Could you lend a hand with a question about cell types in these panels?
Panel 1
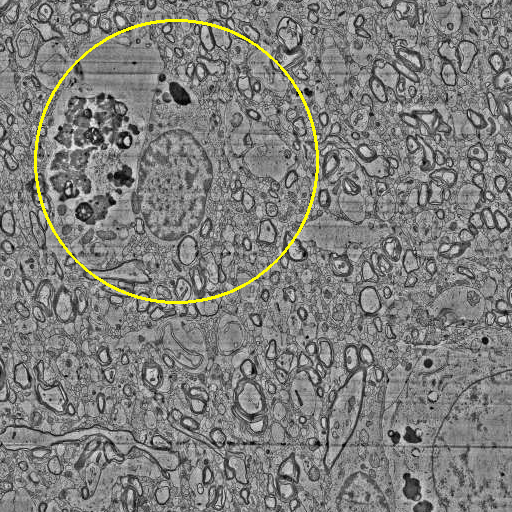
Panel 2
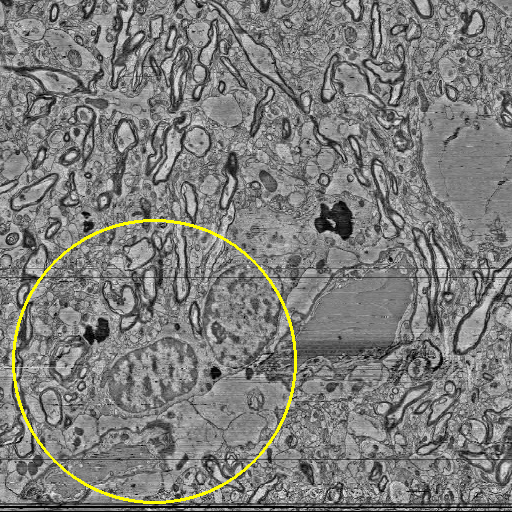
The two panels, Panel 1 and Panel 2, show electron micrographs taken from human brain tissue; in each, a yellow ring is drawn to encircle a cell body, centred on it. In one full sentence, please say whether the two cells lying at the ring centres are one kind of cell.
Yes, the cells at the ring centres in the two panels are one kind of cell.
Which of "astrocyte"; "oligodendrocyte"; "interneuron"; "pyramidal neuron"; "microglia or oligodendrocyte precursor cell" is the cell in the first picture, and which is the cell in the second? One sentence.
The first and the second cell are each an oligodendrocyte.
